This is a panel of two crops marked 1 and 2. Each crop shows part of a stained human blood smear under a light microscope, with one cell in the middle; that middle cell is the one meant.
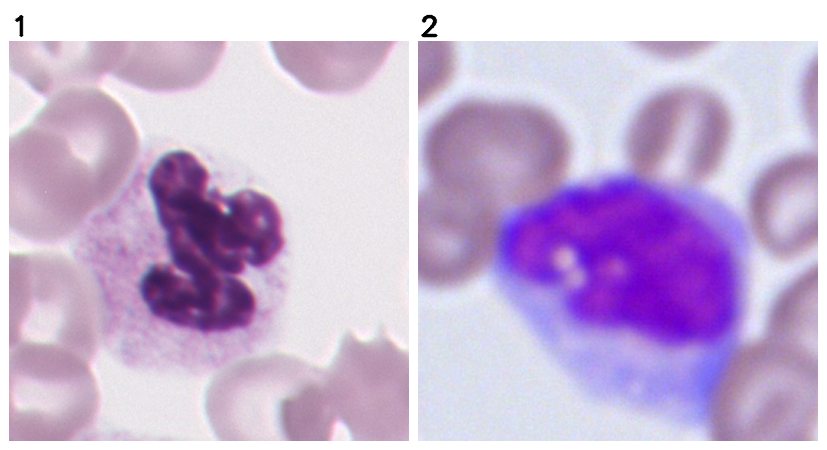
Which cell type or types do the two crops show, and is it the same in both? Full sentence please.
No, in crop 1 there is a neutrophil, and in crop 2 there is a monocyte.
